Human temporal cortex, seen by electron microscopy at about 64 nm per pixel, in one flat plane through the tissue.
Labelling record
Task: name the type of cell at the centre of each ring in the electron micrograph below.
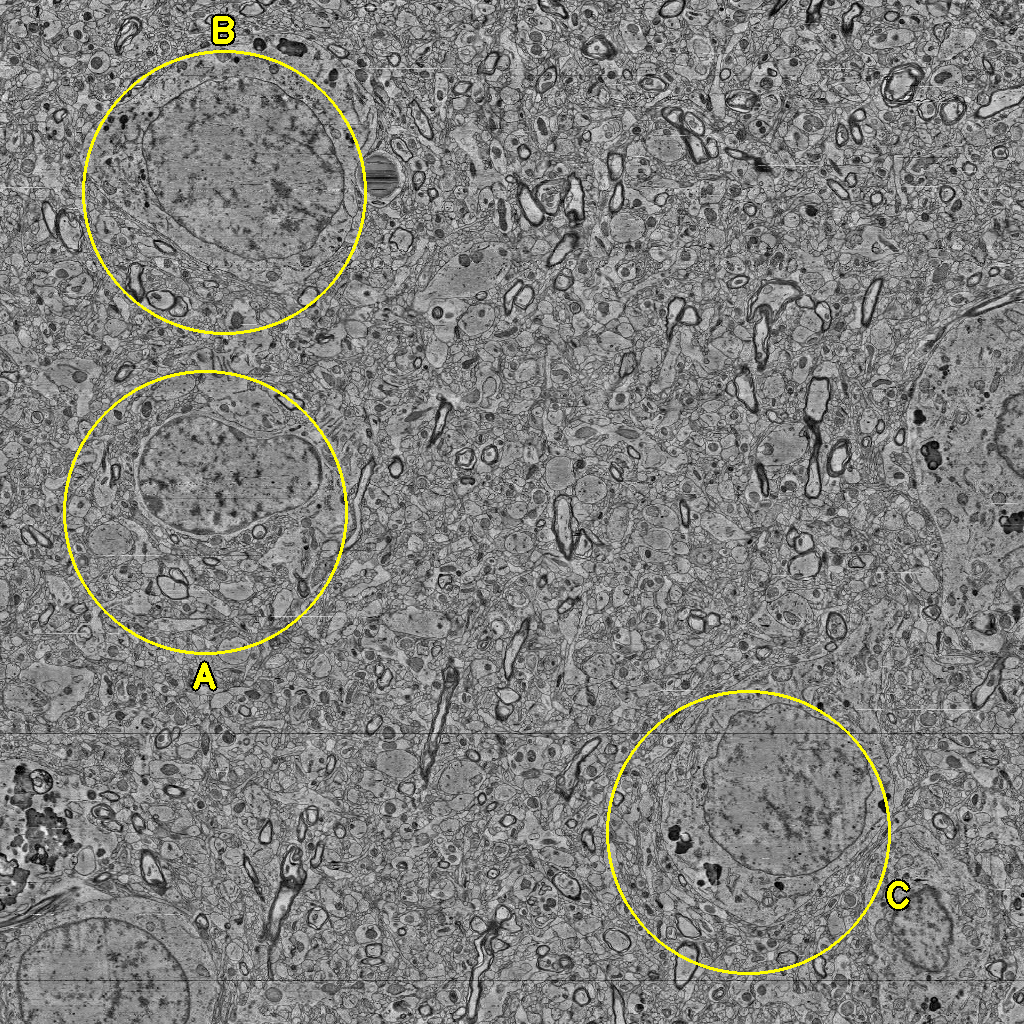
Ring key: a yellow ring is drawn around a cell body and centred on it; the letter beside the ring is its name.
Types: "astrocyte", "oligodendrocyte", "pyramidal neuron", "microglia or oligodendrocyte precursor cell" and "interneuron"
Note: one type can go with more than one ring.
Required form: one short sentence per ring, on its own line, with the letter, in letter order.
In ring A, the centred cell is a microglial cell or oligodendrocyte precursor cell.
In ring B, the centred cell is a pyramidal neuron.
In ring C, the centred cell is a pyramidal neuron.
